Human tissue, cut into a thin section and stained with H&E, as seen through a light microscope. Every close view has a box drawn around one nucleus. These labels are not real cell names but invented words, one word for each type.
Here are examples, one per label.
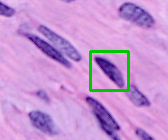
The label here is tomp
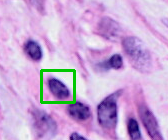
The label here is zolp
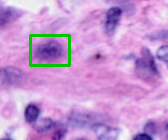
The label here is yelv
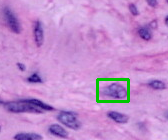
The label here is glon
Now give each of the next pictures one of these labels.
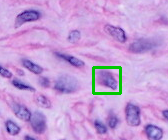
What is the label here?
glon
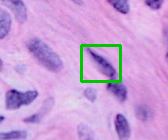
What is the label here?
tomp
